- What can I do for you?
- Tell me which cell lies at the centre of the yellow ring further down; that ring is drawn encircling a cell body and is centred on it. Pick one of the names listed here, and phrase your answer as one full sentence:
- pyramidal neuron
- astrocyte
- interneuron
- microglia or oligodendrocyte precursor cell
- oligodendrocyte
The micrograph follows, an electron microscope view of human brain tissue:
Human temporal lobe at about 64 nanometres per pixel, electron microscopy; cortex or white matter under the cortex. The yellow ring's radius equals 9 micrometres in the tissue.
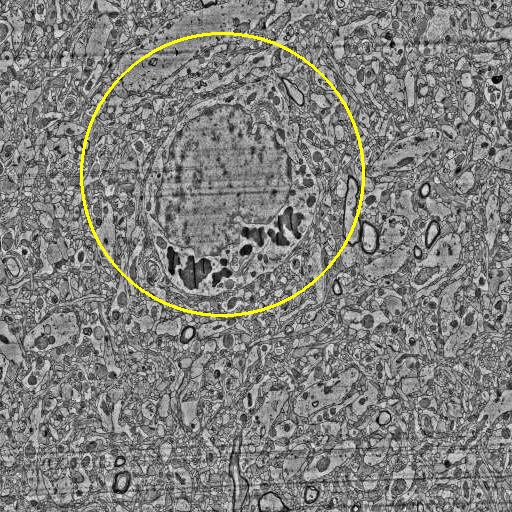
The cell whose body lies at the centre of the yellow ring is an interneuron.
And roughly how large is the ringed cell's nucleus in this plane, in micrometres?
The nucleus is about 9 micrometres across in this plane.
